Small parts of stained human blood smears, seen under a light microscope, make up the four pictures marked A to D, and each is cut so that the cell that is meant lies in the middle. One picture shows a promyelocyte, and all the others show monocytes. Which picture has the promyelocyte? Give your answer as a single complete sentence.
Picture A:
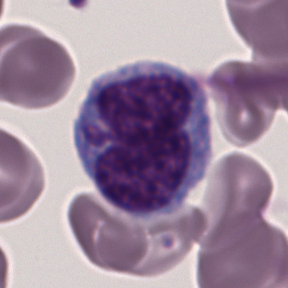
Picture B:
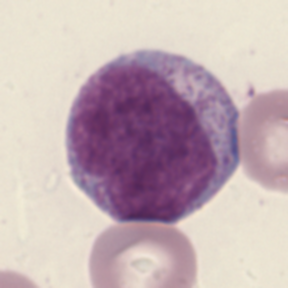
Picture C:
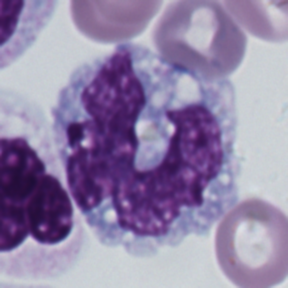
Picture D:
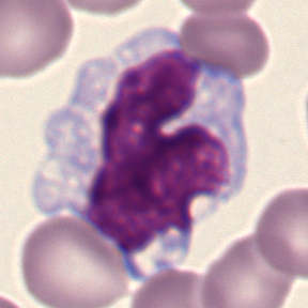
It is picture B that shows the promyelocyte.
